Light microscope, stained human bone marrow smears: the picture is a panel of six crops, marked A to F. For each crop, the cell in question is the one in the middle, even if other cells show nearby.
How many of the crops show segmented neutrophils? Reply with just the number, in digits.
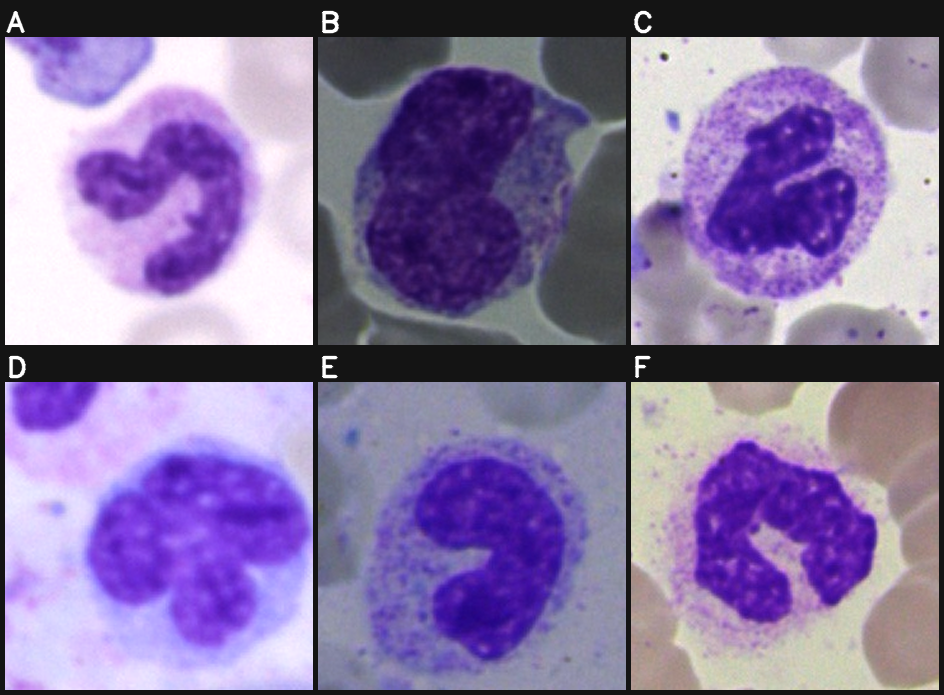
0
